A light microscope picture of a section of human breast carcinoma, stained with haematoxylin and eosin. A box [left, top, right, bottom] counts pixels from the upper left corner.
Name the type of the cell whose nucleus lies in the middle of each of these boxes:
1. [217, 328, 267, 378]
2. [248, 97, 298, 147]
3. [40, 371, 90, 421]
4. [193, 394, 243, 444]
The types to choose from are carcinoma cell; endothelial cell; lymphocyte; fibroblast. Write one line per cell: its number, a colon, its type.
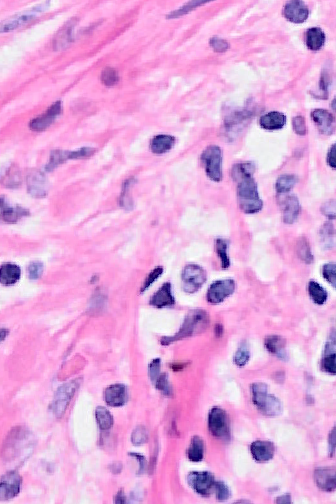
1: lymphocyte
2: lymphocyte
3: endothelial cell
4: lymphocyte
